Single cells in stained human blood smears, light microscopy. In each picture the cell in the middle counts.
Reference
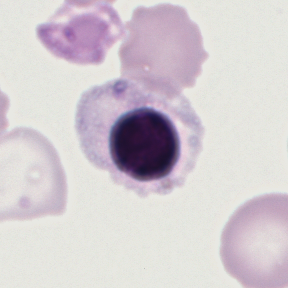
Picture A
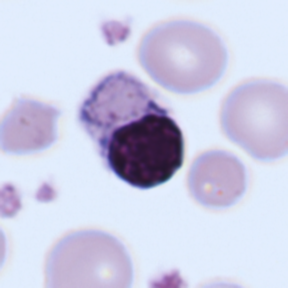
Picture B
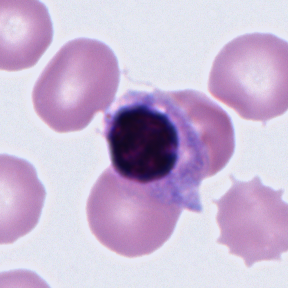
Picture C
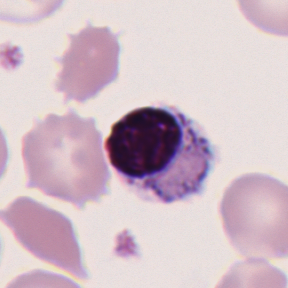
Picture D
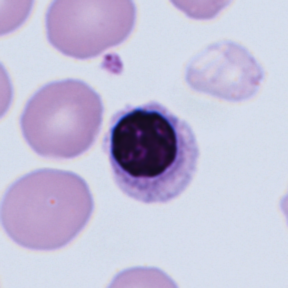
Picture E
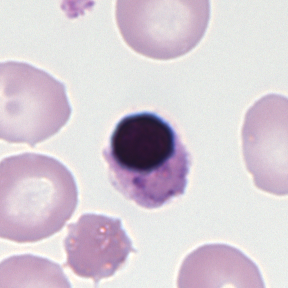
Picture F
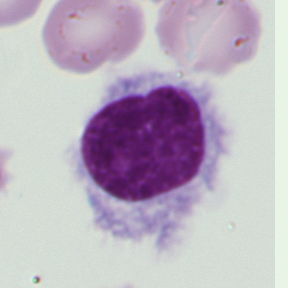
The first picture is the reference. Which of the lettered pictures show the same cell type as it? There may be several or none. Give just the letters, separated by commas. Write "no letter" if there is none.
A, B, C, D, E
